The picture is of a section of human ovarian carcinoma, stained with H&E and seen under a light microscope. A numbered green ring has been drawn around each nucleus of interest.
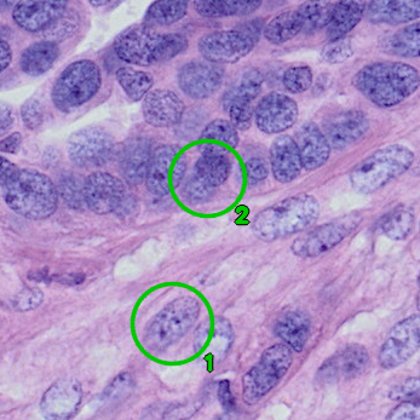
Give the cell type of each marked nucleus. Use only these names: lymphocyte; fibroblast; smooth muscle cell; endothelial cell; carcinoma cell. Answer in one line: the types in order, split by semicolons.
fibroblast; carcinoma cell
